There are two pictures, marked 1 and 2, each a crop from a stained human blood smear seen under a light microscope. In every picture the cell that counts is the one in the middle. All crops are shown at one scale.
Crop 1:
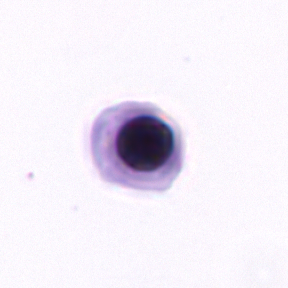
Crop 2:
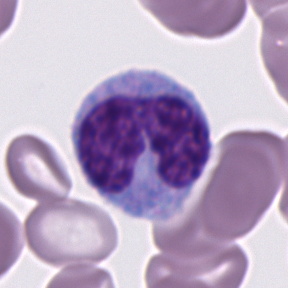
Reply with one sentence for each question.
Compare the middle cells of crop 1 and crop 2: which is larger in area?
The cell in crop 2 is larger, with about 2.5 times the area of the one in crop 1.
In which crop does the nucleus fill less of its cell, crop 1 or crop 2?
Of the two, the nucleus in crop 1 leaves more room for cytoplasm.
